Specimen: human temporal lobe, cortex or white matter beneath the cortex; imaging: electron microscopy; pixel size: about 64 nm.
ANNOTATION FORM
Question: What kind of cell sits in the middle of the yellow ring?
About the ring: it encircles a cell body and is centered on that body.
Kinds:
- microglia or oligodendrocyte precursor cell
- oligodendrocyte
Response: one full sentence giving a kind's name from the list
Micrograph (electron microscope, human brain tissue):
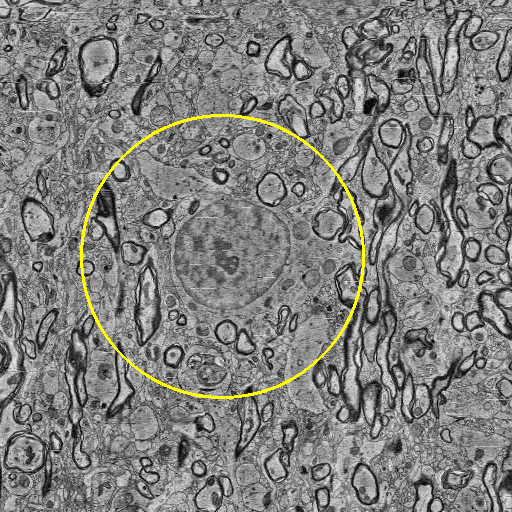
The kind of cell found at the center of the yellow ring in the micrograph is an oligodendrocyte.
